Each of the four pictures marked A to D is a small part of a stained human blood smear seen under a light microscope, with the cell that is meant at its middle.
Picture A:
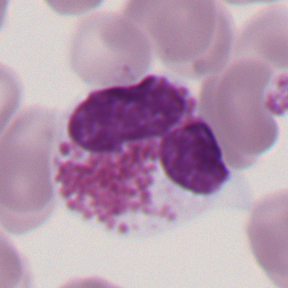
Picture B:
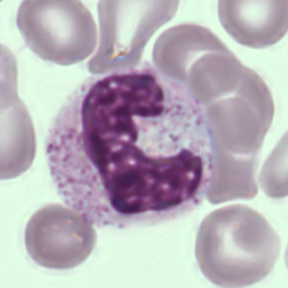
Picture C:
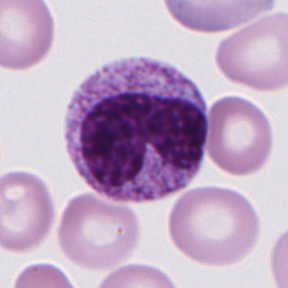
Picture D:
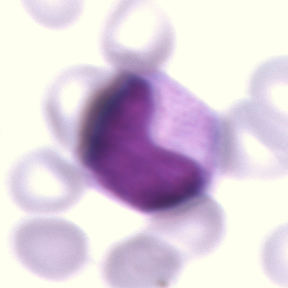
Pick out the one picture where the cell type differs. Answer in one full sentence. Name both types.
The others show band neutrophils, but picture A shows an eosinophil.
